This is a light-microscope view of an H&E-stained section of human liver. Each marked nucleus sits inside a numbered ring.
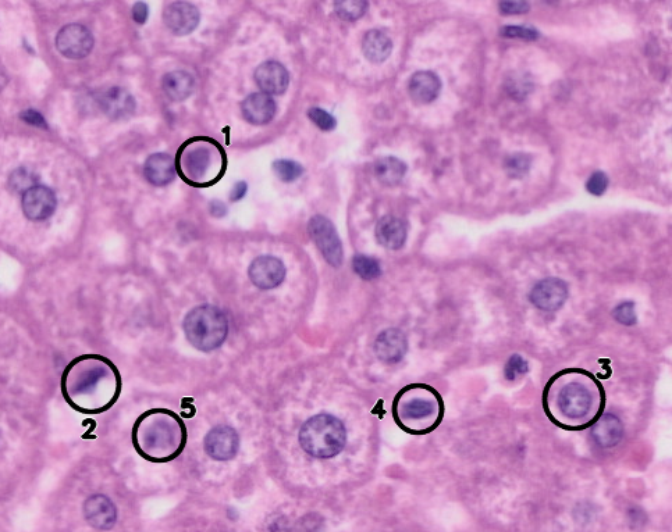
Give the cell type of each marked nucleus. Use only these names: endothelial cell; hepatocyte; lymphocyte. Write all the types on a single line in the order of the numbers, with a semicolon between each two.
endothelial cell; endothelial cell; hepatocyte; lymphocyte; hepatocyte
